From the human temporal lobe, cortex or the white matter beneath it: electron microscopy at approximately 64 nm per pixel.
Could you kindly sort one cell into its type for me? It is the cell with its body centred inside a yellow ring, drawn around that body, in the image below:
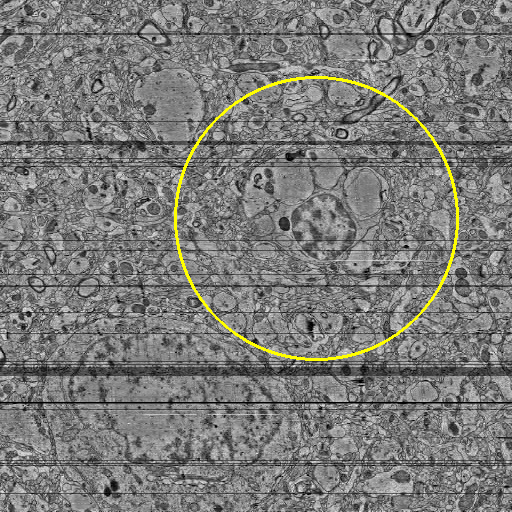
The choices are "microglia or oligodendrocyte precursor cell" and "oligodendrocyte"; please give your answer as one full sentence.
The cell whose body lies centred in the yellow ring here is a microglial cell or oligodendrocyte precursor cell.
